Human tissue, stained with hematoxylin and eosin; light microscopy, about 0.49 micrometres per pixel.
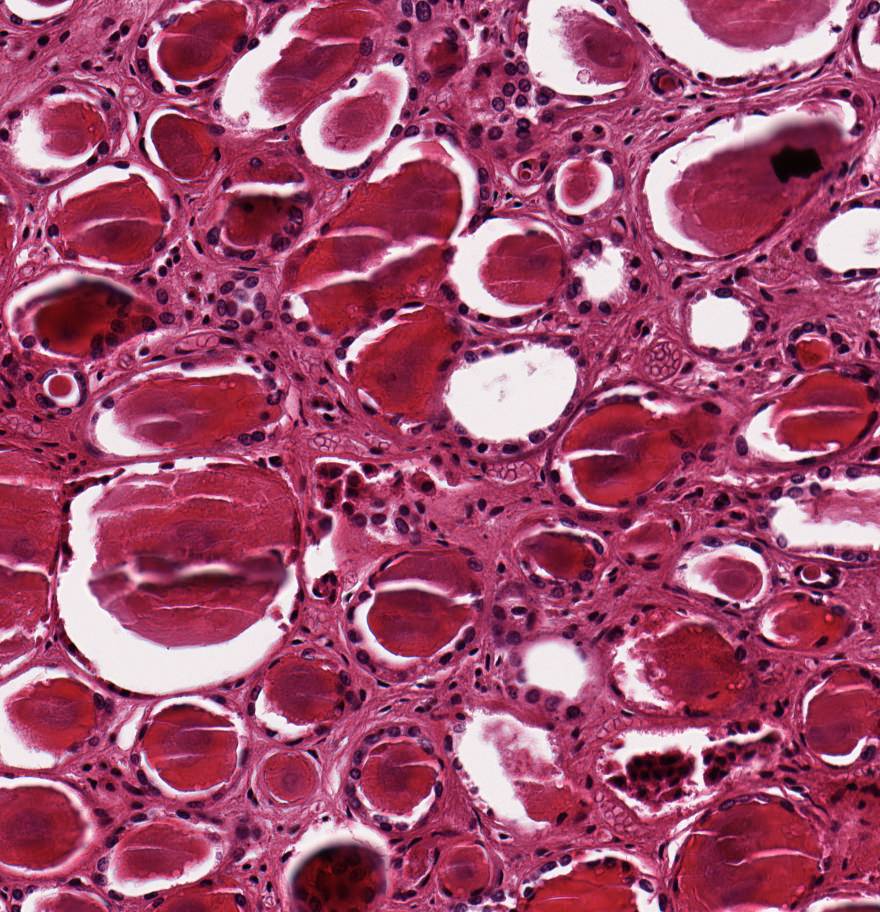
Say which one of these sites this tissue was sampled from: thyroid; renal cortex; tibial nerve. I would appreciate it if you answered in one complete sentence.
What was sampled is tissue from the renal cortex.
